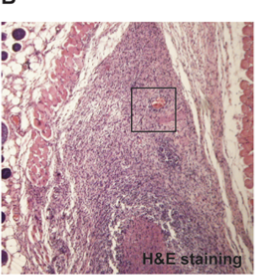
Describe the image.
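A dense, purple, highly cellular mass fills the middle of the field. Within the mass the nuclei are crowded and dark, with little cytoplasm between them, and they lie in sheets without obvious glands. A small boxed area near the top holds a pale space with red cells in it, probably a small blood vessel. Taken together, this is a tumor growing as solid sheets of cells that abuts and pushes into the surrounding muscle.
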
